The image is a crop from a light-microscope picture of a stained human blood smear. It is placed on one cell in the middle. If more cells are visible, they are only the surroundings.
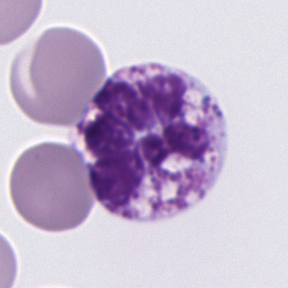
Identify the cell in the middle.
basophil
